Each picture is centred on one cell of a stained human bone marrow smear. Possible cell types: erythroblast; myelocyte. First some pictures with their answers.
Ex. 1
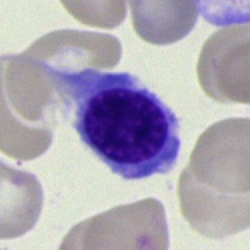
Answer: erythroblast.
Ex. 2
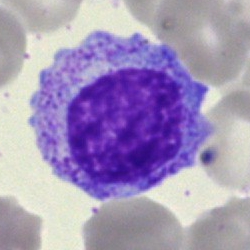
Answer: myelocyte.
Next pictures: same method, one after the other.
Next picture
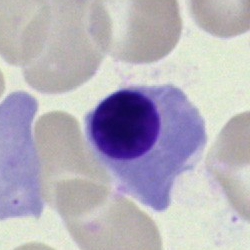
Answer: erythroblast.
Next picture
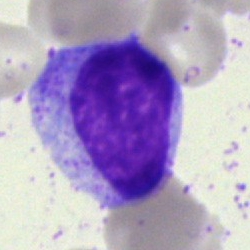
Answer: myelocyte.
